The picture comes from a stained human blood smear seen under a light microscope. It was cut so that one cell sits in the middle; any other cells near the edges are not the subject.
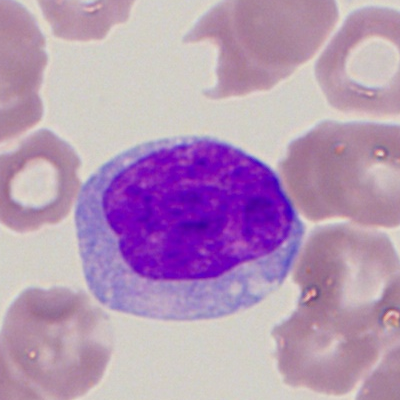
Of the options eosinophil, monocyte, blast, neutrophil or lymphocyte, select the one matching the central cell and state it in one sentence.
Classified as a monocyte is the cell in the middle of this crop.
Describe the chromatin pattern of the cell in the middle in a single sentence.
This nucleus has coarsely clumped chromatin.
